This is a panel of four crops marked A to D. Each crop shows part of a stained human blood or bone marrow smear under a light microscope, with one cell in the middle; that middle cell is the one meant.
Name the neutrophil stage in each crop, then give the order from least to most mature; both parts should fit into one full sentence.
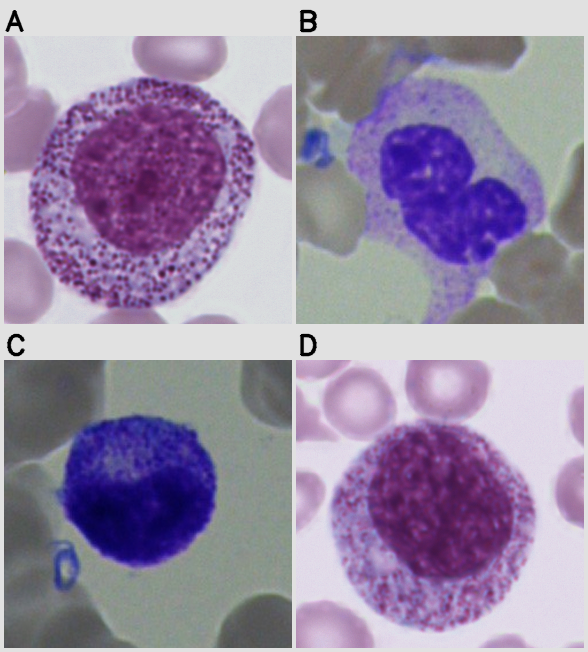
The correct order, least to most mature, is crop D (a promyelocyte), crop A (a myelocyte), crop C (a metamyelocyte) and crop B (a band neutrophil).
